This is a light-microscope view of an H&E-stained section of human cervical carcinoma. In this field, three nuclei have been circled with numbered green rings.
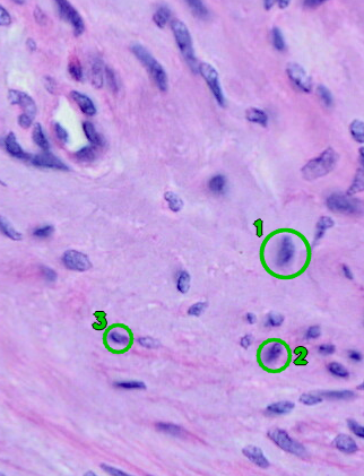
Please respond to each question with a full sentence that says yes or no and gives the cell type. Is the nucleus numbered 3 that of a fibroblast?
No, the cell given number 3 is a smooth muscle cell, as opposed to a fibroblast.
